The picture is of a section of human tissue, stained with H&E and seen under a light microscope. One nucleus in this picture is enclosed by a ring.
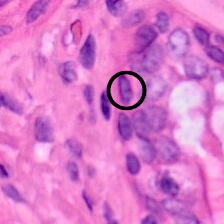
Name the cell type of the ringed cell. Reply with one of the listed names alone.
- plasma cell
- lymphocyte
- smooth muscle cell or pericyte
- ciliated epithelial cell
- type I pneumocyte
ciliated epithelial cell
